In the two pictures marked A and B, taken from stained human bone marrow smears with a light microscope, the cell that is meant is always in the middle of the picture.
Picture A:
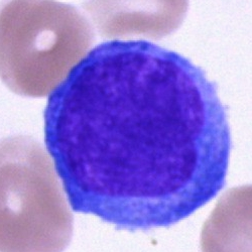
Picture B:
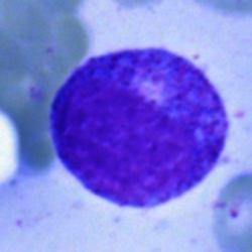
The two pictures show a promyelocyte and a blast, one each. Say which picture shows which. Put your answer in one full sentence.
Picture A shows a blast and picture B shows a promyelocyte.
